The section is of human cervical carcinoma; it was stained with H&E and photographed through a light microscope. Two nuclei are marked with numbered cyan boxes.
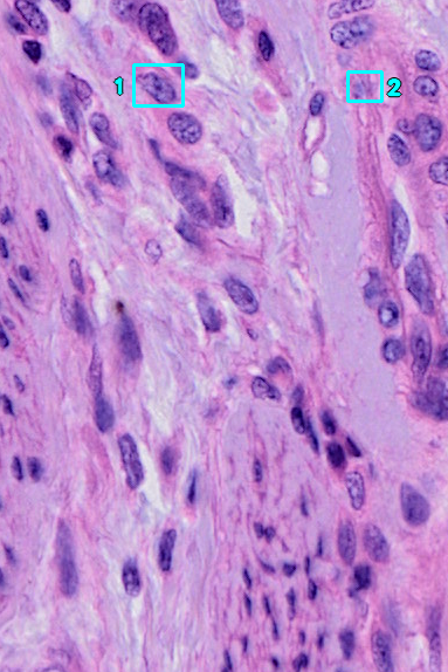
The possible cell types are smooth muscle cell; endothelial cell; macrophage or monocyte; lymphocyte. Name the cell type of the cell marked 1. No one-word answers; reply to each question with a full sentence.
The marked cell with the number 1 is recognised as an endothelial cell.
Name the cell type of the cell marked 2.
The marked cell bearing number 2 is a smooth muscle cell.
